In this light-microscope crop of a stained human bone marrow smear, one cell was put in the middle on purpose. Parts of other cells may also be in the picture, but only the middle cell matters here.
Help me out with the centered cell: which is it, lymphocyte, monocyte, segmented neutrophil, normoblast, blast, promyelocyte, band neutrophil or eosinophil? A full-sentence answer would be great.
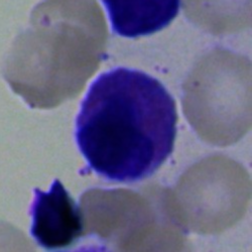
The cell positioned in the middle of the field is a lymphocyte.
